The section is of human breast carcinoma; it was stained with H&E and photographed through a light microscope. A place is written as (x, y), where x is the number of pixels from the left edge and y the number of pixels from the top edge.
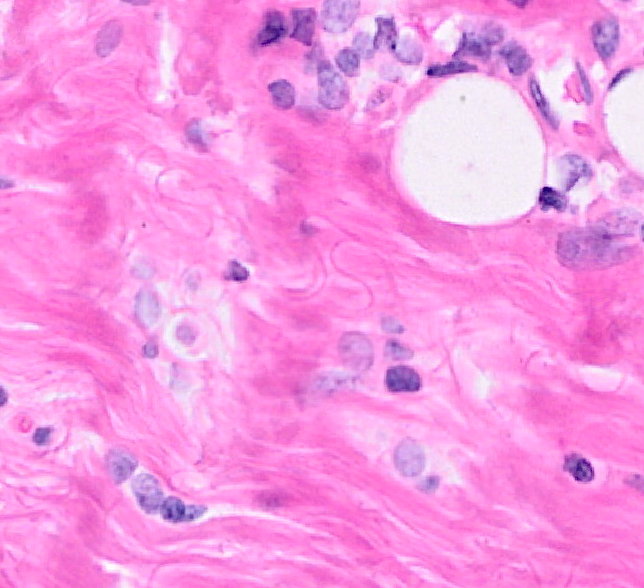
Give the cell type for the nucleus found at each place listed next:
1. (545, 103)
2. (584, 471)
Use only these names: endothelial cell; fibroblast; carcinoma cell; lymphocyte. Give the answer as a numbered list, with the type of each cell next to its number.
1. endothelial cell
2. lymphocyte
